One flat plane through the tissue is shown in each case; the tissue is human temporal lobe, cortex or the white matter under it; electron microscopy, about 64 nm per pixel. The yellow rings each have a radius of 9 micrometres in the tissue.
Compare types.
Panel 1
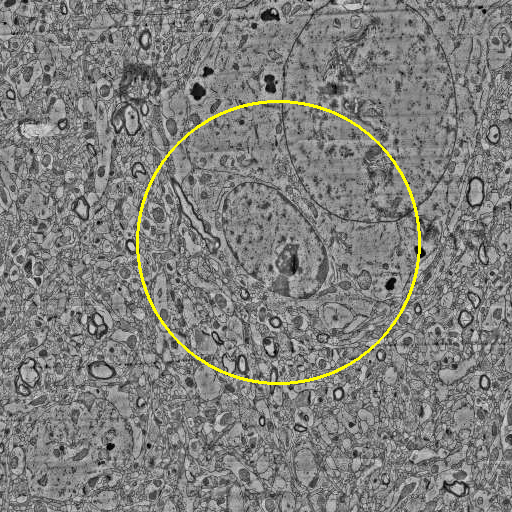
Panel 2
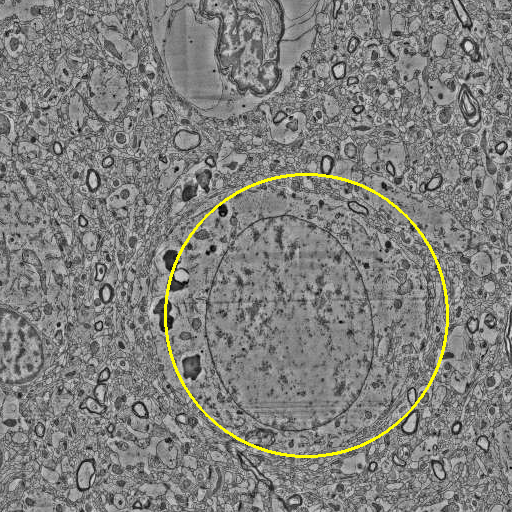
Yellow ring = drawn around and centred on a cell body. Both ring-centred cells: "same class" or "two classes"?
two classes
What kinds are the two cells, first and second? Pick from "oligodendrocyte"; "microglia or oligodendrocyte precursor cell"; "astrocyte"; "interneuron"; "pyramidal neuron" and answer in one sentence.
The second picture holds a pyramidal neuron in its ring, and the first holds a microglial cell or oligodendrocyte precursor cell.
